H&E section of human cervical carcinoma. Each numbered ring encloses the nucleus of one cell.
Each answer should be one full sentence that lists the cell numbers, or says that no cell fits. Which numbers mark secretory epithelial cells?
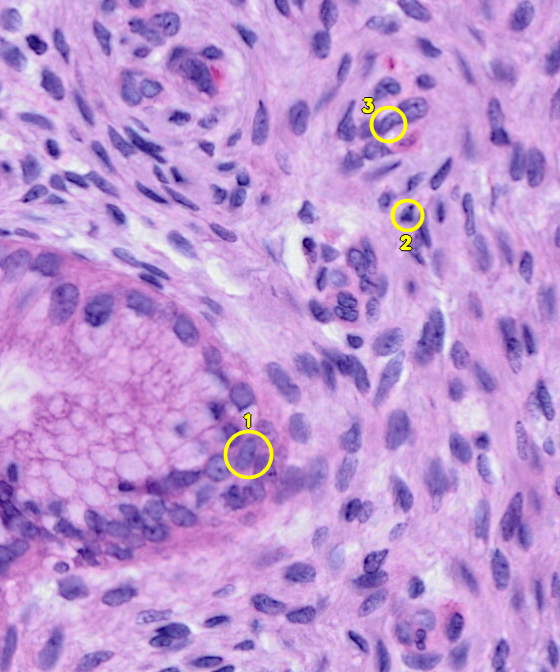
Cell 1 is a secretory epithelial cell, while every other numbered cell is not.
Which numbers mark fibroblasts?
Just one of the numbered cells is a fibroblast, namely number 2.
